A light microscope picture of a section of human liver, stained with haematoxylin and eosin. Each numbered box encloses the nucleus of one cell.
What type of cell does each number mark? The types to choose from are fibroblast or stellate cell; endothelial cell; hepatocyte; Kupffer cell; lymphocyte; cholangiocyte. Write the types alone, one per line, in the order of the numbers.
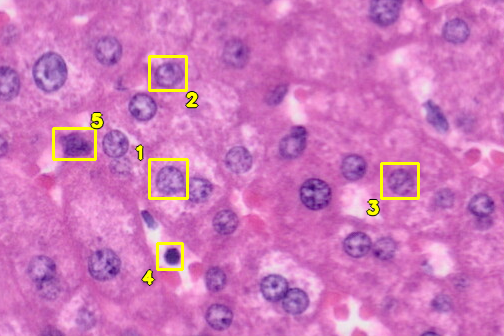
hepatocyte
hepatocyte
hepatocyte
lymphocyte
fibroblast or stellate cell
